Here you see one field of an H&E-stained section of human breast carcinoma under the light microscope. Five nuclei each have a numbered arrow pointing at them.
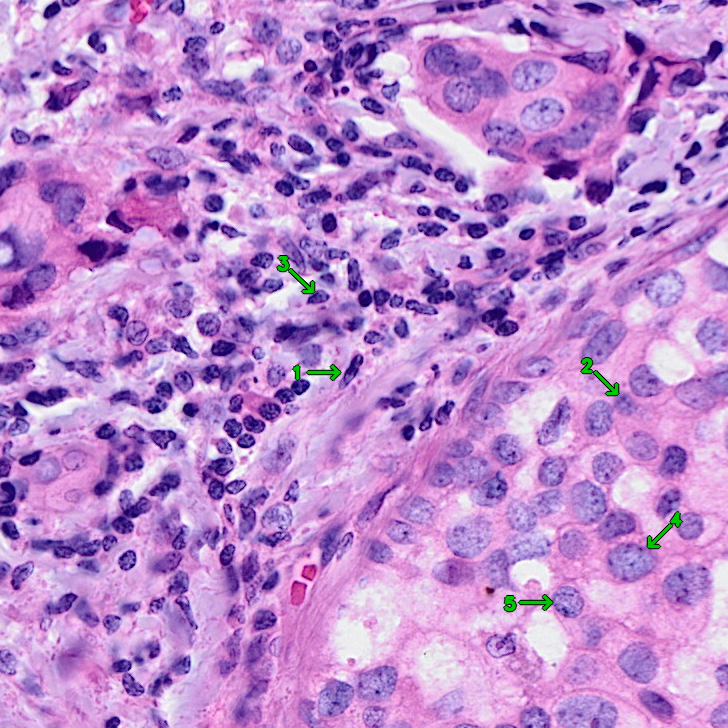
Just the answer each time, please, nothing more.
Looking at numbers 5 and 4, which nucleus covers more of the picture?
4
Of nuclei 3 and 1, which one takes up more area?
1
